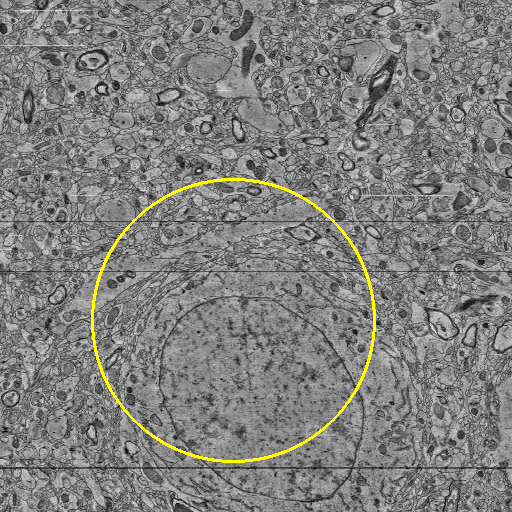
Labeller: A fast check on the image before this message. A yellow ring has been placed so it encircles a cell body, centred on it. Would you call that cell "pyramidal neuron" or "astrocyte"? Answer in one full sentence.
In this image, a pyramidal neuron is the cell on which the yellow ring is centred.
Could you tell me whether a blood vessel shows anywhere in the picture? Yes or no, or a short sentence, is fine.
No, none appears.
